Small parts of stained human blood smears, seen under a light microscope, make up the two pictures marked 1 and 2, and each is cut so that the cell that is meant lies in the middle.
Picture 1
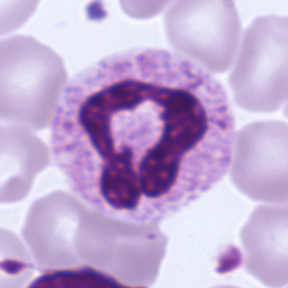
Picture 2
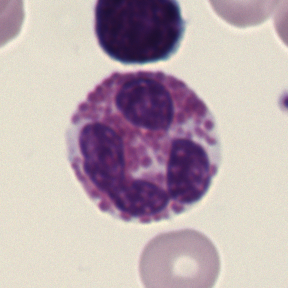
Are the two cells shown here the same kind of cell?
no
